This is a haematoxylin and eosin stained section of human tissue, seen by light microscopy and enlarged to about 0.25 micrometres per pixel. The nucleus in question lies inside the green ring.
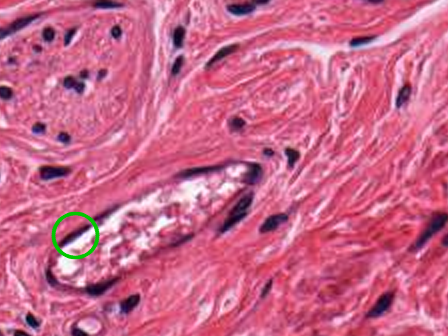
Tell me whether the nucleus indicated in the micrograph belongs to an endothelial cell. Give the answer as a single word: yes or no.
yes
